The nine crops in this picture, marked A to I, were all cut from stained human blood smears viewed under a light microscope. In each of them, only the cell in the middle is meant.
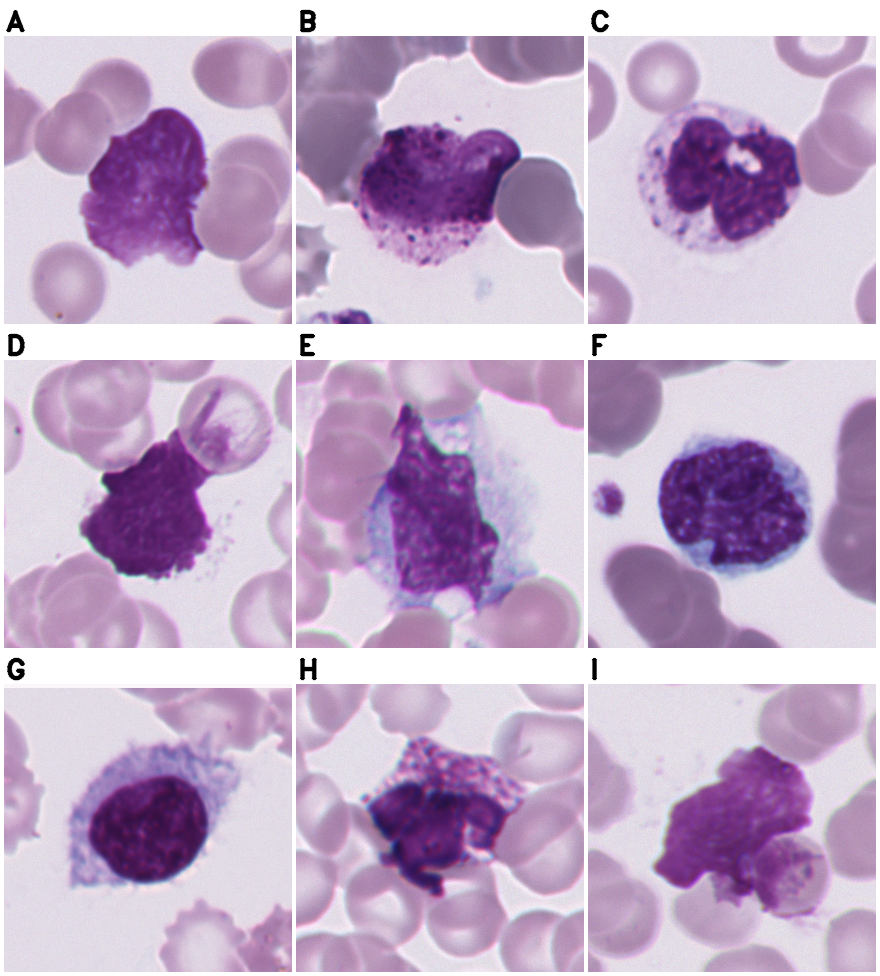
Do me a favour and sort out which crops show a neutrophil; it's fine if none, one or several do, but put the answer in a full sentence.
No crop of the set centres on a neutrophil.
